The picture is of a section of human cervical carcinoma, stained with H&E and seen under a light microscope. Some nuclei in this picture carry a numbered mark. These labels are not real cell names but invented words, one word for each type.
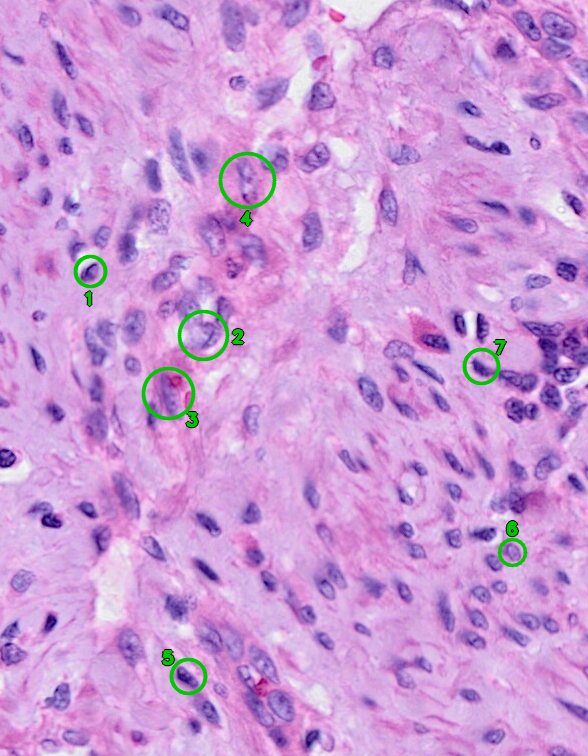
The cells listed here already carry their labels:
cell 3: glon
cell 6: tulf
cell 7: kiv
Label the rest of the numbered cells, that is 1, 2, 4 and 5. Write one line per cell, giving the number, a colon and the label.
1: kiv
2: glon
4: glon
5: kiv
